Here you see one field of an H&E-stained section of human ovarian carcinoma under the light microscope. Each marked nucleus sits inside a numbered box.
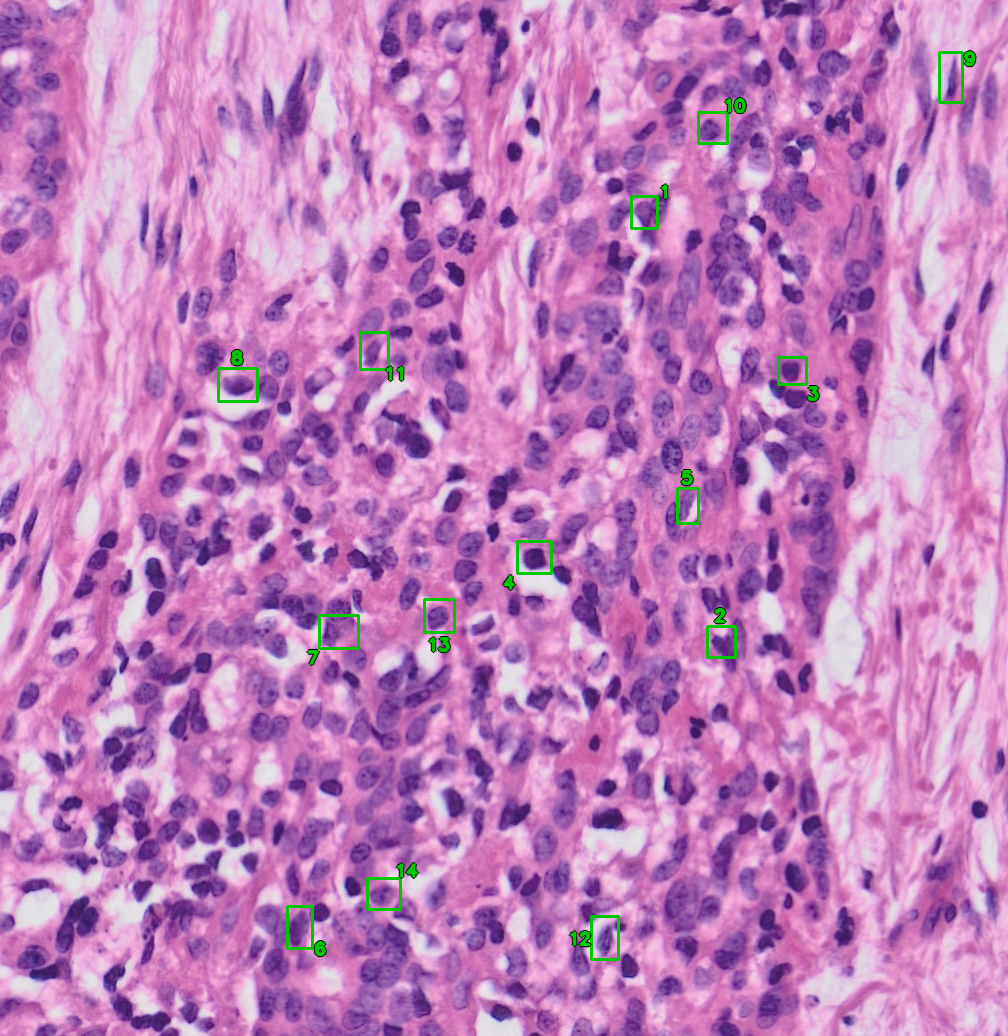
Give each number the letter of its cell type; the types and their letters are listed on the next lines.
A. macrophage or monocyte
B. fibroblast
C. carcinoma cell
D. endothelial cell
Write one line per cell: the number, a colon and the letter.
1: C
2: C
3: C
4: C
5: D
6: C
7: C
8: C
9: B
10: A
11: C
12: A
13: A
14: A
